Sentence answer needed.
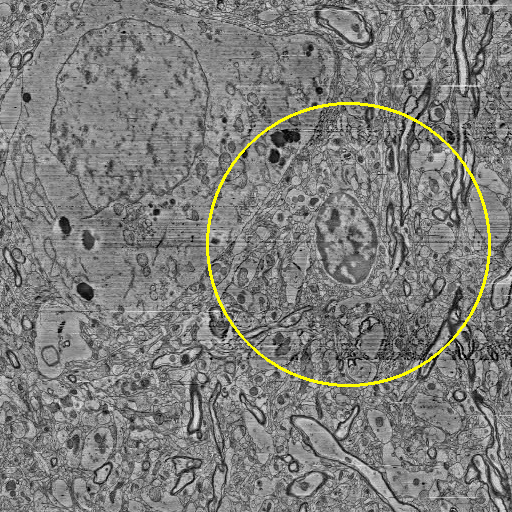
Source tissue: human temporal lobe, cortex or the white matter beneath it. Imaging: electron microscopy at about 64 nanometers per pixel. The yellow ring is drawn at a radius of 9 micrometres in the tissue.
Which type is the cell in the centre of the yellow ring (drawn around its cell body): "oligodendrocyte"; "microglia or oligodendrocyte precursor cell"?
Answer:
In the centre of the yellow ring is a microglial cell or oligodendrocyte precursor cell.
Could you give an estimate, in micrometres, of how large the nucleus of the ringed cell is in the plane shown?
Approximately 6 micrometres long and 4 micrometres wide, so clearly longer than it is wide in this plane.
